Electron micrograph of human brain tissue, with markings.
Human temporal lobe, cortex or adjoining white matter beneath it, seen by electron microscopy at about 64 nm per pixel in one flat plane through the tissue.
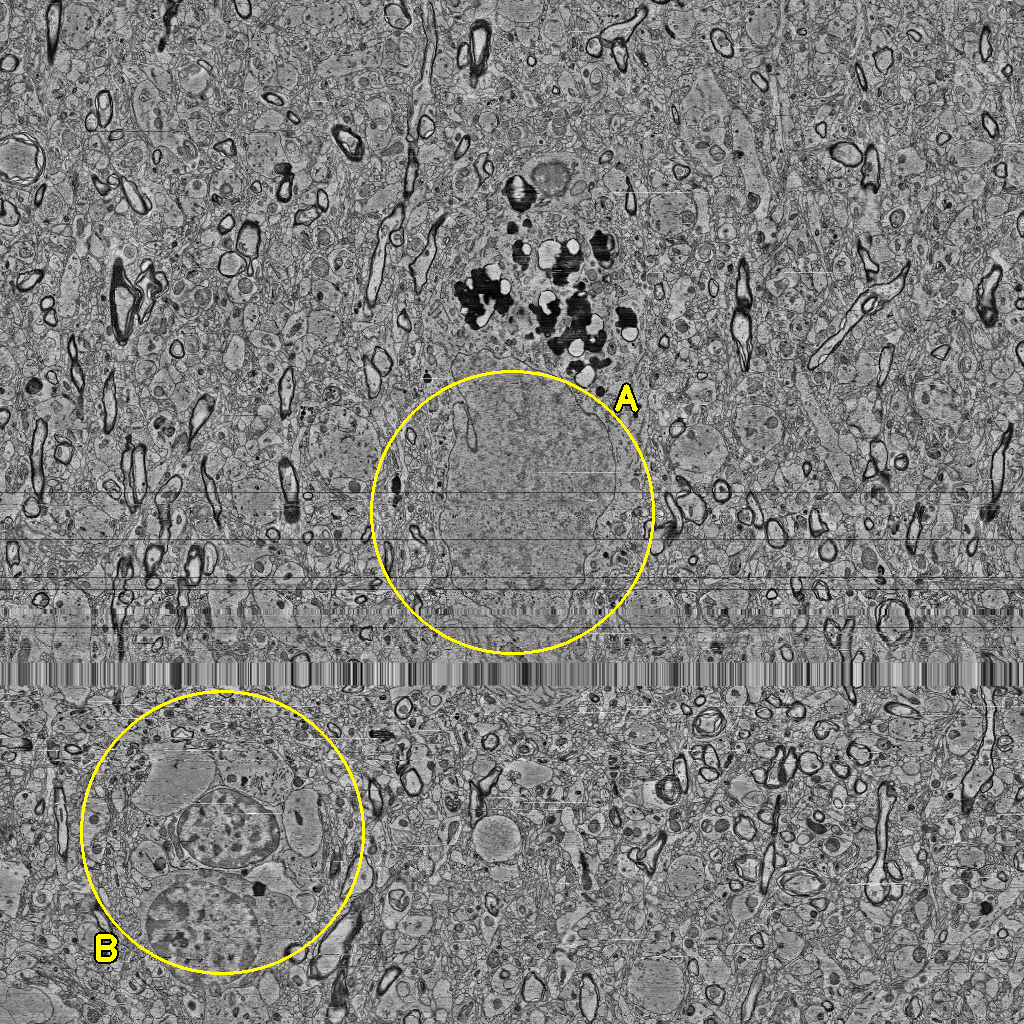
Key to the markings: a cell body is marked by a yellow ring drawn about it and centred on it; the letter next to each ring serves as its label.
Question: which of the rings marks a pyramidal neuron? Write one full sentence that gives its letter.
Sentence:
In this picture, the ring marking that kind of cell has the letter A.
